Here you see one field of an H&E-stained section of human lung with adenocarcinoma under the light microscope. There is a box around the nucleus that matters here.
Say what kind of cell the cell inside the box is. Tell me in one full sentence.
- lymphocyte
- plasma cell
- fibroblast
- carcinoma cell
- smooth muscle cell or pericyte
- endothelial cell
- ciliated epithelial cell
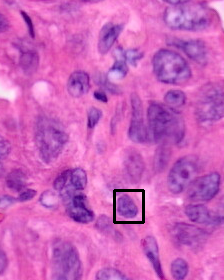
For the purposes of cell typing, the cell inside the box is categorized as a lymphocyte.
